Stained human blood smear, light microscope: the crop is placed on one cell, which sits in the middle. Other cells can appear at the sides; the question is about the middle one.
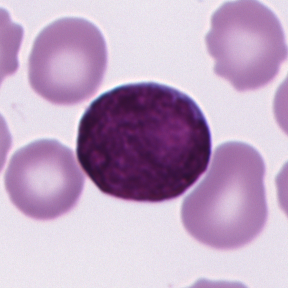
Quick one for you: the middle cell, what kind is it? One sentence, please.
Standing at the centre of this crop is a blast.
